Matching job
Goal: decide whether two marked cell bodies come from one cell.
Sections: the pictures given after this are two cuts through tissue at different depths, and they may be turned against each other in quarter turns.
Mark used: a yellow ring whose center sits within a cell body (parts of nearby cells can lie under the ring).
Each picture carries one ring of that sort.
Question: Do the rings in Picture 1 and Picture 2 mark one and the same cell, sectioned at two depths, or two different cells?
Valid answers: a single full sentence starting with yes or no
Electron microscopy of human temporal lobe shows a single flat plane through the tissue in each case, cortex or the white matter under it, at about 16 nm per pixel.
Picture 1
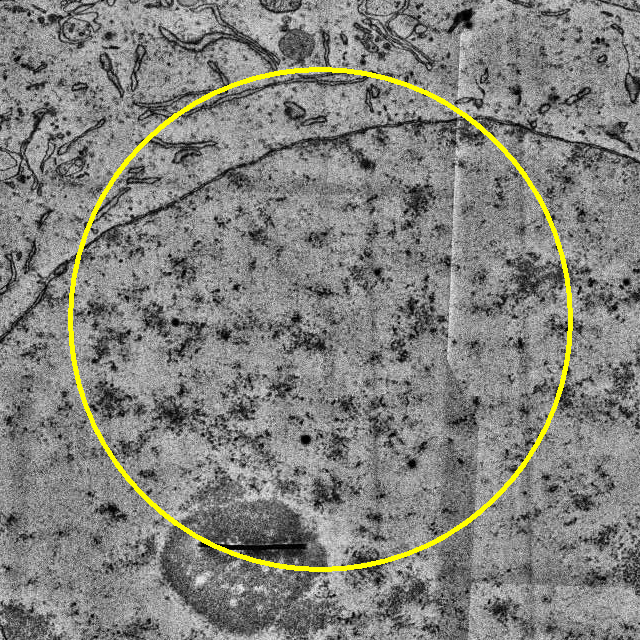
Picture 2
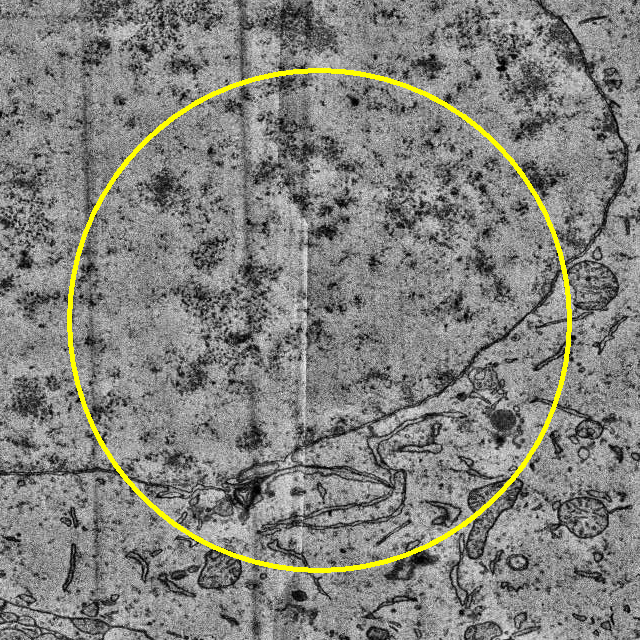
Yes, the same cell appears within both yellow rings.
